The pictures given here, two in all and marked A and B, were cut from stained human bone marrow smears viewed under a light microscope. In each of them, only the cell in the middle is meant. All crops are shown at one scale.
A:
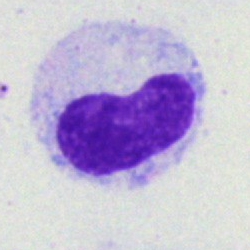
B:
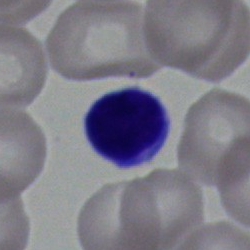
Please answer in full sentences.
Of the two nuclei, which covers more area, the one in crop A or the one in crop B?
Crop A shows the larger nucleus; it covers about 2.5 times the area of the nucleus in crop B.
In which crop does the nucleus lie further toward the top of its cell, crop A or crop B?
It is the nucleus in crop B that lies further toward the top of its cell.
